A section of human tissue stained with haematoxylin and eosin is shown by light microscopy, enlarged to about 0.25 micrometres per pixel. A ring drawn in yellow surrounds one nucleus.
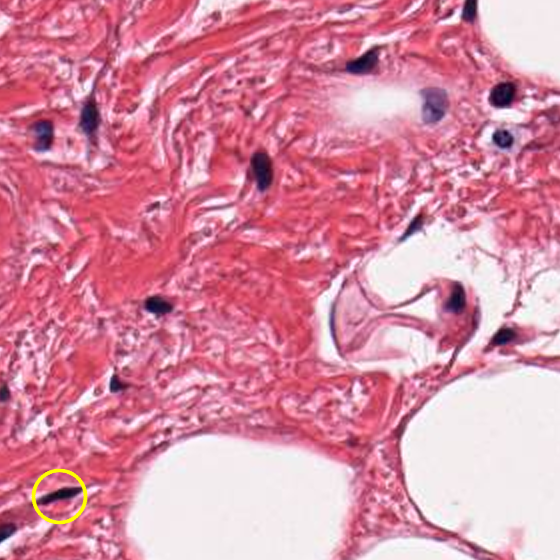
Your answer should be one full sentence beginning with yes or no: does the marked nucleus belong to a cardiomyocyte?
No, the marked nucleus, which belongs to a supporting cell, is not part of a cardiomyocyte.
